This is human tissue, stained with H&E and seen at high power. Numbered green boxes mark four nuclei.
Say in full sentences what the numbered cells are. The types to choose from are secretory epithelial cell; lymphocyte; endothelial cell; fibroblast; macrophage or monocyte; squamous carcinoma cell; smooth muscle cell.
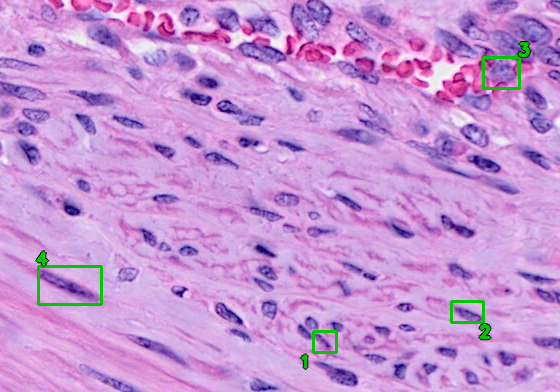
Cell 1 is a smooth muscle cell, cell 2 is a smooth muscle cell, cell 3 is an endothelial cell and cell 4 is a smooth muscle cell.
